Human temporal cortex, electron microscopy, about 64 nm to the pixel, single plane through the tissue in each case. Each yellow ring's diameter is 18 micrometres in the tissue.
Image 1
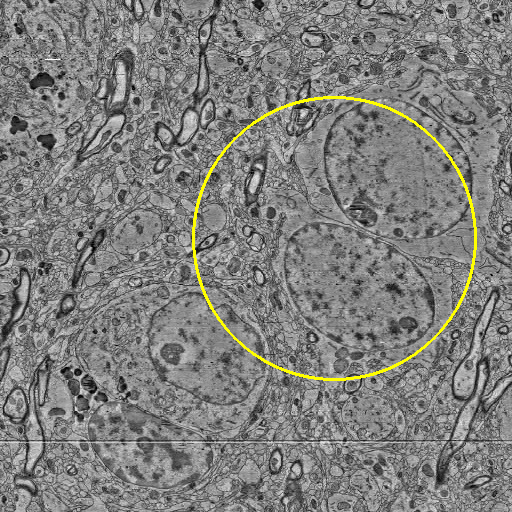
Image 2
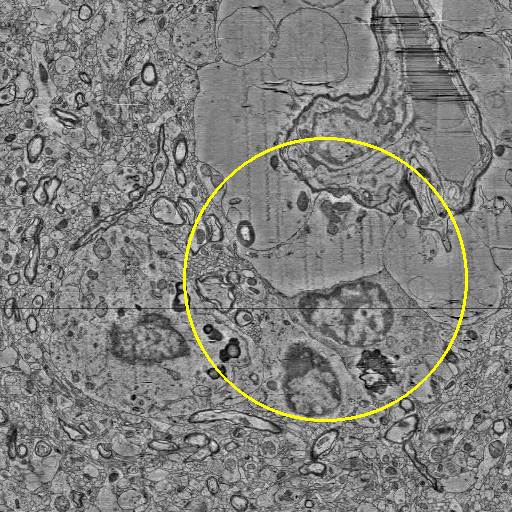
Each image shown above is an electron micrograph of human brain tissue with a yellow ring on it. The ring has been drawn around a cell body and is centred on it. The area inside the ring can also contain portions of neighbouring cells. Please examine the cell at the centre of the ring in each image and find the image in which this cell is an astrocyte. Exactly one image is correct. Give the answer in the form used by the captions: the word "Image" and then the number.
Image 1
